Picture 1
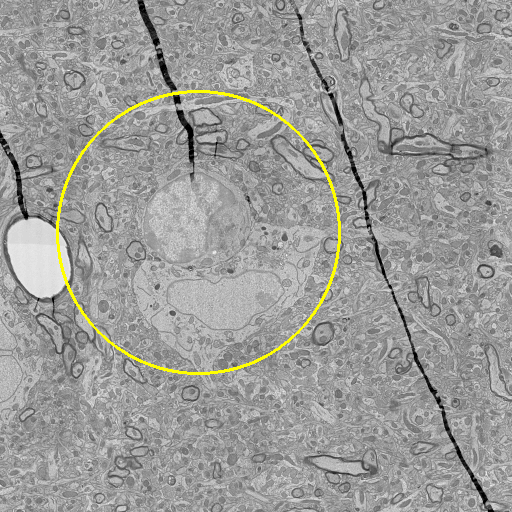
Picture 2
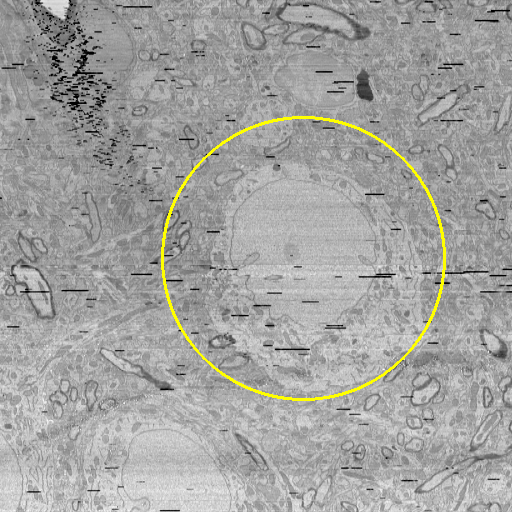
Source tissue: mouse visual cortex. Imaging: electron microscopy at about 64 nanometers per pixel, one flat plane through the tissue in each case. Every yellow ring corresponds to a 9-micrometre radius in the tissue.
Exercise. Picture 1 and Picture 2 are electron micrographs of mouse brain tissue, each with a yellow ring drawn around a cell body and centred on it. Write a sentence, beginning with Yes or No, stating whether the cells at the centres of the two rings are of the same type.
No, the cells at the centres of the rings are of two types.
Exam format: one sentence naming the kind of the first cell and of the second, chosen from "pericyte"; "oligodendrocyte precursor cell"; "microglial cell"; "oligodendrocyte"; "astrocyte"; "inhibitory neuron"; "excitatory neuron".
The first picture's cell is an oligodendrocyte, and the second picture's cell is an excitatory neuron.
